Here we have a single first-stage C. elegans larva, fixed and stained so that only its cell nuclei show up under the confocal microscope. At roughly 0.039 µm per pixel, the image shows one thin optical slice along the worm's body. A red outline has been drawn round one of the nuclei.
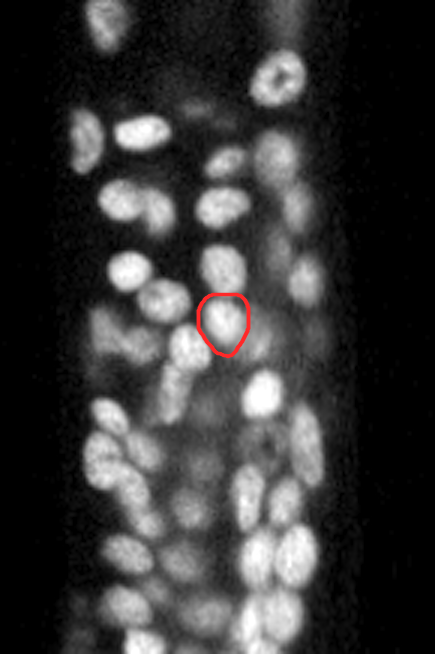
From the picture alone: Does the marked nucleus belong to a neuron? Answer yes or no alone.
yes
